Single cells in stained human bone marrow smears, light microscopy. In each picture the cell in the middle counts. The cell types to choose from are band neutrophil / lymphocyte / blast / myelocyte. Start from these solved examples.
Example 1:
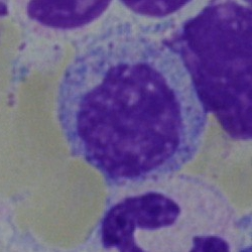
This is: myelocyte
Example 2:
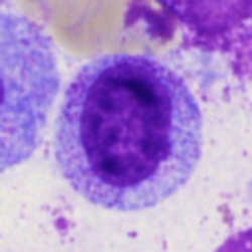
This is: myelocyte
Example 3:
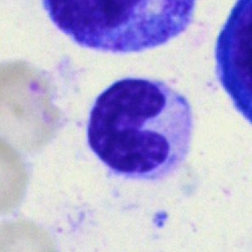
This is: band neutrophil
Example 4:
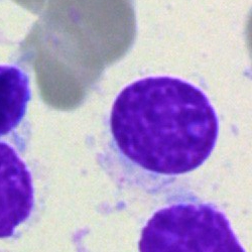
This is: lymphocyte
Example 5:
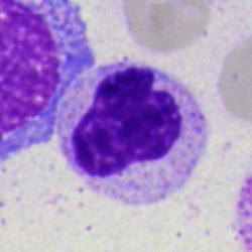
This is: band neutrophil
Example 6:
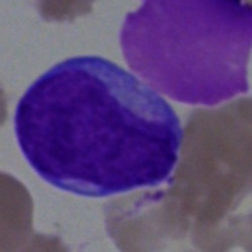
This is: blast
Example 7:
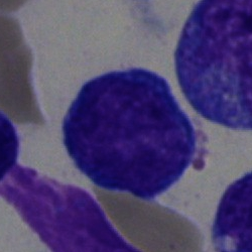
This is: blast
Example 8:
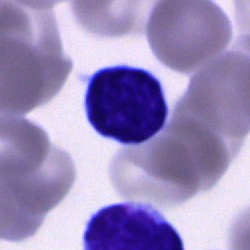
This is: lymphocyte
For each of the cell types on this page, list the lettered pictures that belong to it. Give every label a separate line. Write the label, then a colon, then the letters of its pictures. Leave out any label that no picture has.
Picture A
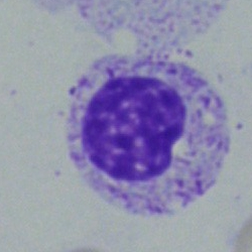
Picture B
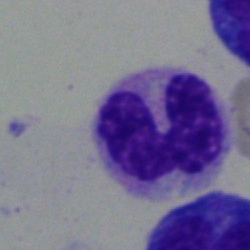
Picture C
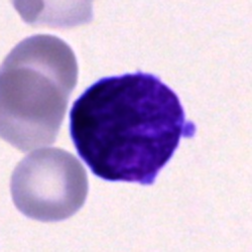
band neutrophil: B
blast: C
myelocyte: A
